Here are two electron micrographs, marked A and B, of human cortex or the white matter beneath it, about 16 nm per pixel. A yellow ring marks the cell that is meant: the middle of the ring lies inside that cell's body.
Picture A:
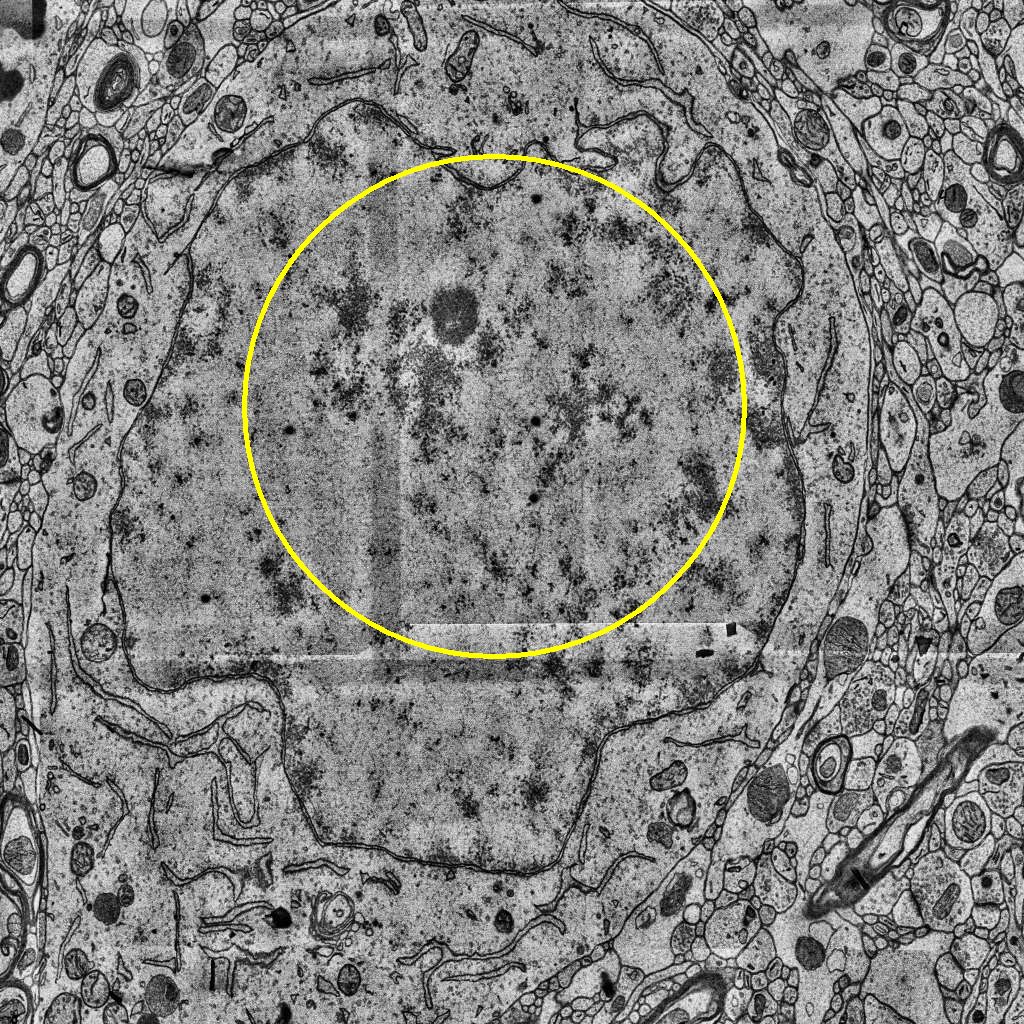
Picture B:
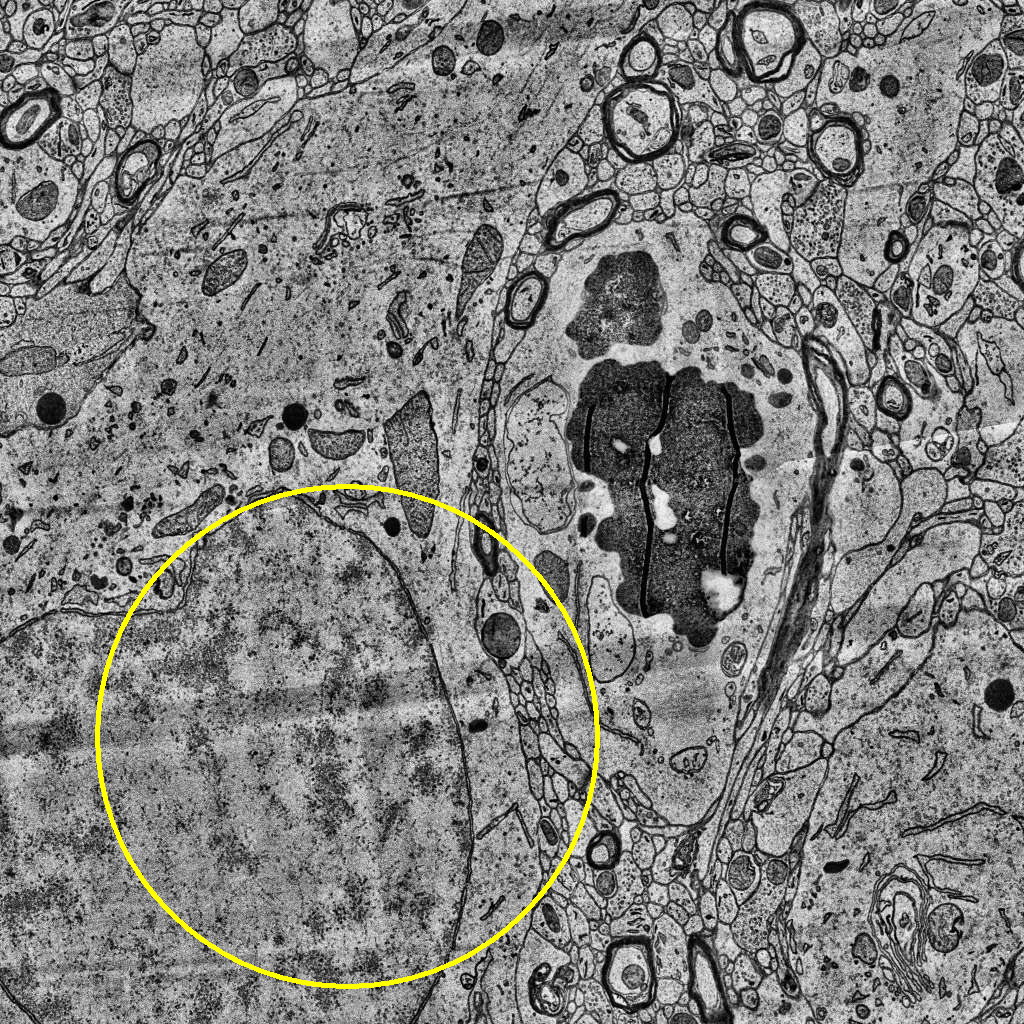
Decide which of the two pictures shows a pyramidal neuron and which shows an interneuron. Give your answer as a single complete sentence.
The cell in picture A is an interneuron, and the one in picture B is a pyramidal neuron.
